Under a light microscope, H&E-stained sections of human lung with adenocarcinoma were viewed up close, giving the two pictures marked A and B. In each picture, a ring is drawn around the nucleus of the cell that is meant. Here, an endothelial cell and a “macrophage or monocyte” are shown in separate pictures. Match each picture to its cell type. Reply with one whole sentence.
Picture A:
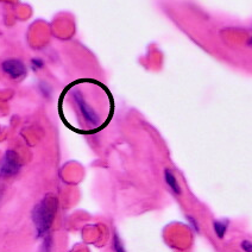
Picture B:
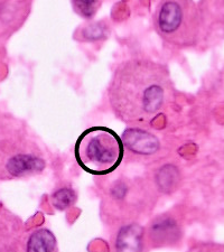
It is picture A that shows an endothelial cell, and picture B that shows a “macrophage or monocyte”.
